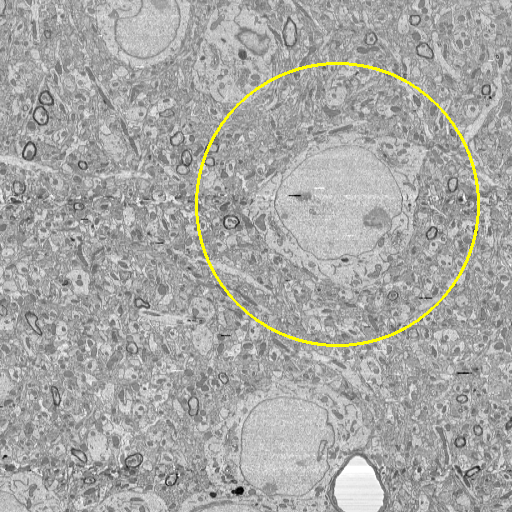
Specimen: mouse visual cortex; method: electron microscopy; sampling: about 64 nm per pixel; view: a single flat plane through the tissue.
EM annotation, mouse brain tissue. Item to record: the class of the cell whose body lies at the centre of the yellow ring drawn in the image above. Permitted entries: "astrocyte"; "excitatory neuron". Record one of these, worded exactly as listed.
excitatory neuron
